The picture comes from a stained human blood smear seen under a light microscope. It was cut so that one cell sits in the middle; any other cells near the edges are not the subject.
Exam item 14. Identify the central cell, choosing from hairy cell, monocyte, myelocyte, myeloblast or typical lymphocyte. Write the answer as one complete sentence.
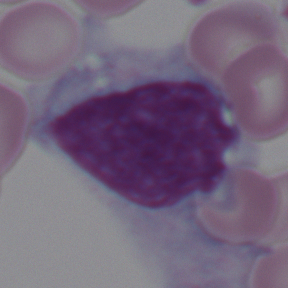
This crop is built around a monocyte at its centre.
